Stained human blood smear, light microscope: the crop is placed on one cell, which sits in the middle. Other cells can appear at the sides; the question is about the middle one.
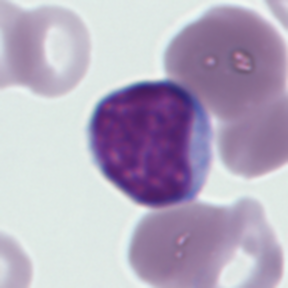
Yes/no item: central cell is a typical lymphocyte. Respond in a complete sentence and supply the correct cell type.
Yes, the identity of the central cell is that of a typical lymphocyte.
